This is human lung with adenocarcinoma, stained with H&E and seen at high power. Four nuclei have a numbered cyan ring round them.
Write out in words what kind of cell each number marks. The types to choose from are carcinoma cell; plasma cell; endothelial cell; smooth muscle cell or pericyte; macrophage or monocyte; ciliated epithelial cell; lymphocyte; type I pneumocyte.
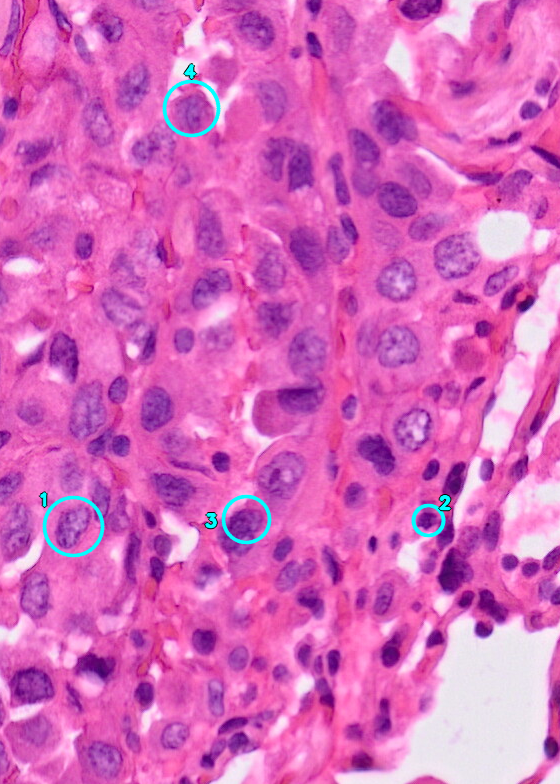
Cell 1 is a carcinoma cell, cell 2 is a lymphocyte, cell 3 is a carcinoma cell and cell 4 is a carcinoma cell.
